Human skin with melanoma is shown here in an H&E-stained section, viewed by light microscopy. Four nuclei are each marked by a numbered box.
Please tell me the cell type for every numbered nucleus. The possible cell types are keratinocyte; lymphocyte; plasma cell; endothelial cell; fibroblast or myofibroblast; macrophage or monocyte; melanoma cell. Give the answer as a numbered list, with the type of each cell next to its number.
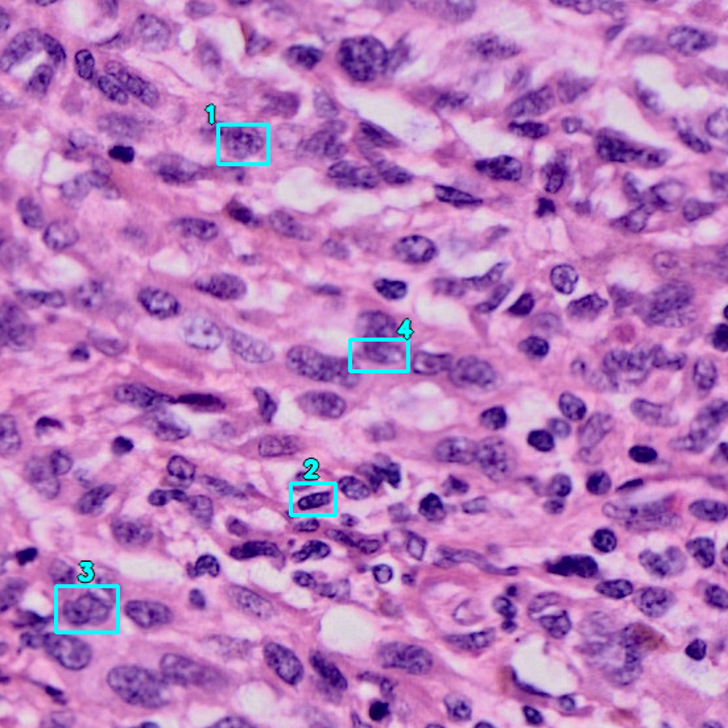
1. melanoma cell
2. lymphocyte
3. melanoma cell
4. melanoma cell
